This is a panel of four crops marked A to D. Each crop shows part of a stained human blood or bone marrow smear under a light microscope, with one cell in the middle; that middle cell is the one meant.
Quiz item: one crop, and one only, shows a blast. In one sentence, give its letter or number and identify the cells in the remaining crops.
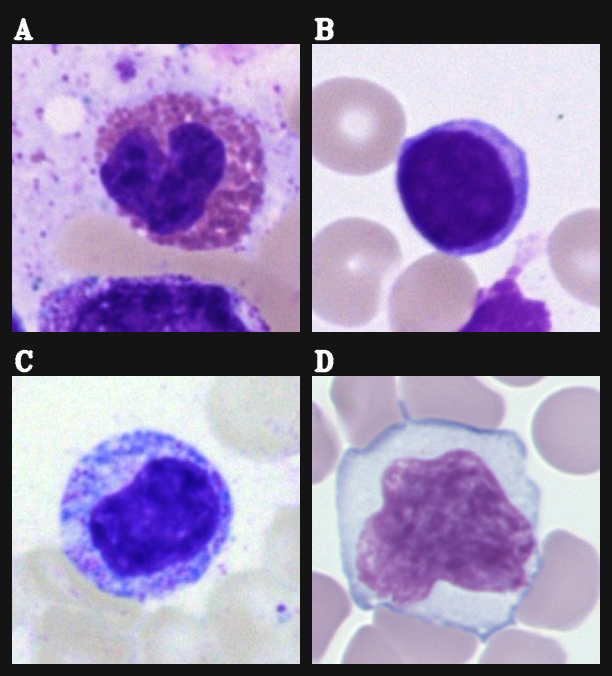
Crop D shows a blast in its middle, while crop A is an eosinophil, crop B is a lymphocyte and crop C is a myelocyte.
